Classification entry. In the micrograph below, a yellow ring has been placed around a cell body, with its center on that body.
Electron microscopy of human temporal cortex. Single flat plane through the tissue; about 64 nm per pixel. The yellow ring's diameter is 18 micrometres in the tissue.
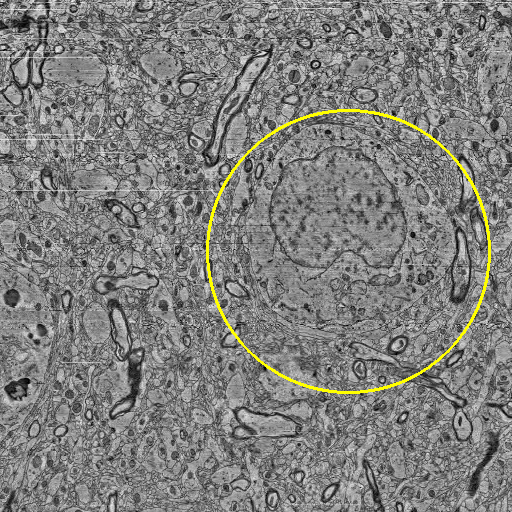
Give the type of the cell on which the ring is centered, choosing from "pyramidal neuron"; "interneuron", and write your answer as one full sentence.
The cell body at the center of the yellow ring belongs to a pyramidal neuron.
